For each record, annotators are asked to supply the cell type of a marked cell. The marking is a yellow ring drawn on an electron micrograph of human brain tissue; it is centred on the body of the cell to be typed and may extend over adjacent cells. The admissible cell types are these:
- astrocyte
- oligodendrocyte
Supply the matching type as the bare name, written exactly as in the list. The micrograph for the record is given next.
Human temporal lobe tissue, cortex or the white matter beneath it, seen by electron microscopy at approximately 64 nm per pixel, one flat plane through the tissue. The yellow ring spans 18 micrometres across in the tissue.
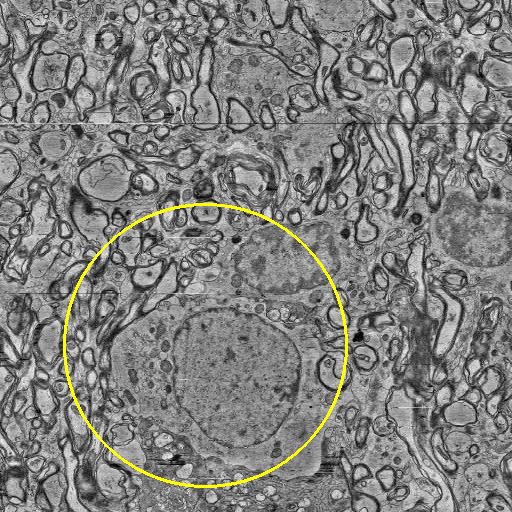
astrocyte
